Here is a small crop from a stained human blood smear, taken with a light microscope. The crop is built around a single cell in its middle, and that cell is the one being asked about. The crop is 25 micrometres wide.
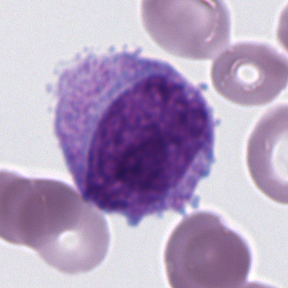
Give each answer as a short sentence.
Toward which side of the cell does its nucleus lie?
Toward the lower right of the cell lies its nucleus.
